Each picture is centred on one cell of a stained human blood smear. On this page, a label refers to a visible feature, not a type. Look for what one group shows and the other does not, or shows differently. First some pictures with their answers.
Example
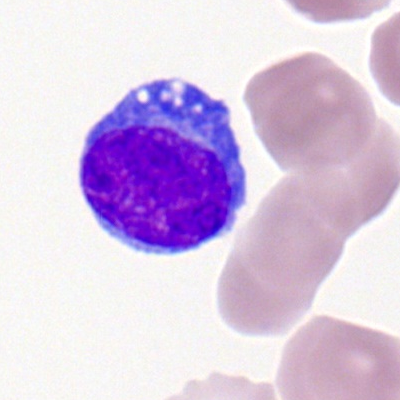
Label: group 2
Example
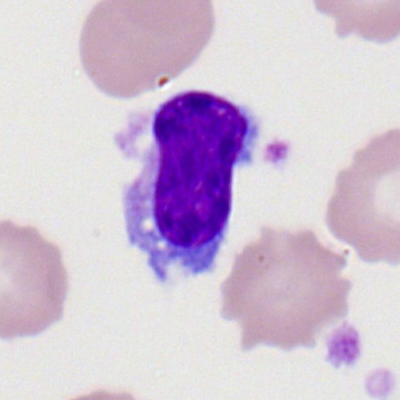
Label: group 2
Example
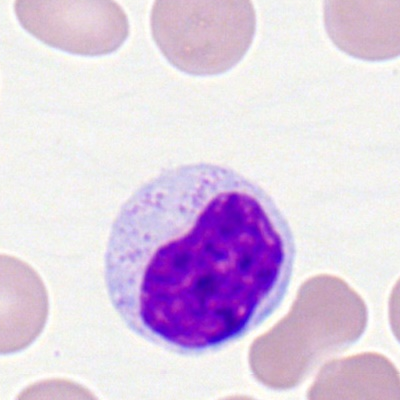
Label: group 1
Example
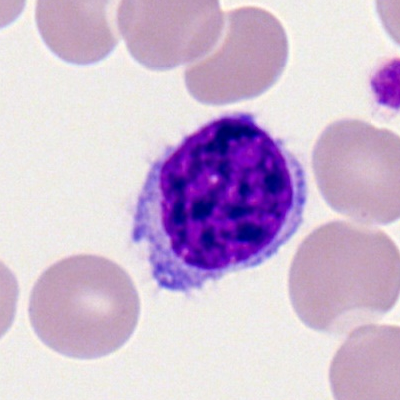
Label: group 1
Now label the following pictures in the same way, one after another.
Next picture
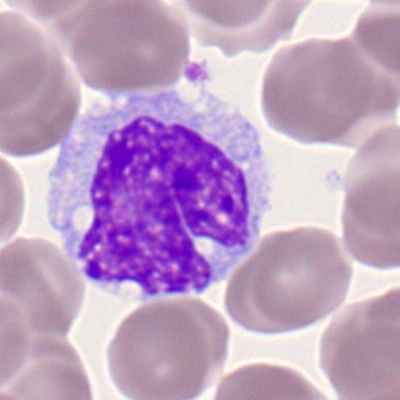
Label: group 2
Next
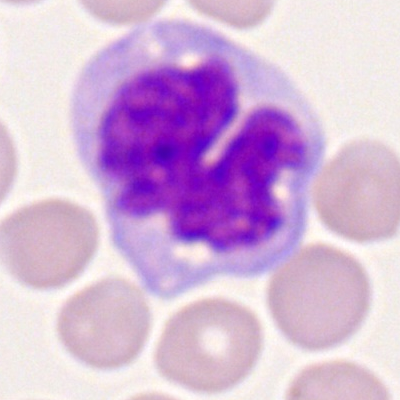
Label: group 2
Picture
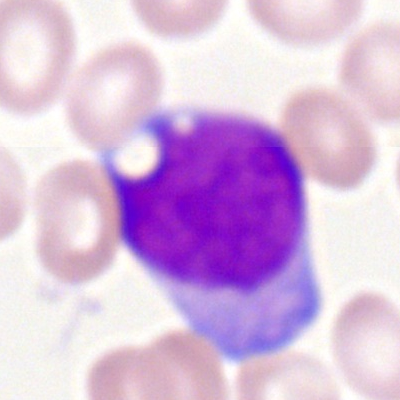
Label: group 2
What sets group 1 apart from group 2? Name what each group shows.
group 1, no vacuoles; group 2, vacuoles present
